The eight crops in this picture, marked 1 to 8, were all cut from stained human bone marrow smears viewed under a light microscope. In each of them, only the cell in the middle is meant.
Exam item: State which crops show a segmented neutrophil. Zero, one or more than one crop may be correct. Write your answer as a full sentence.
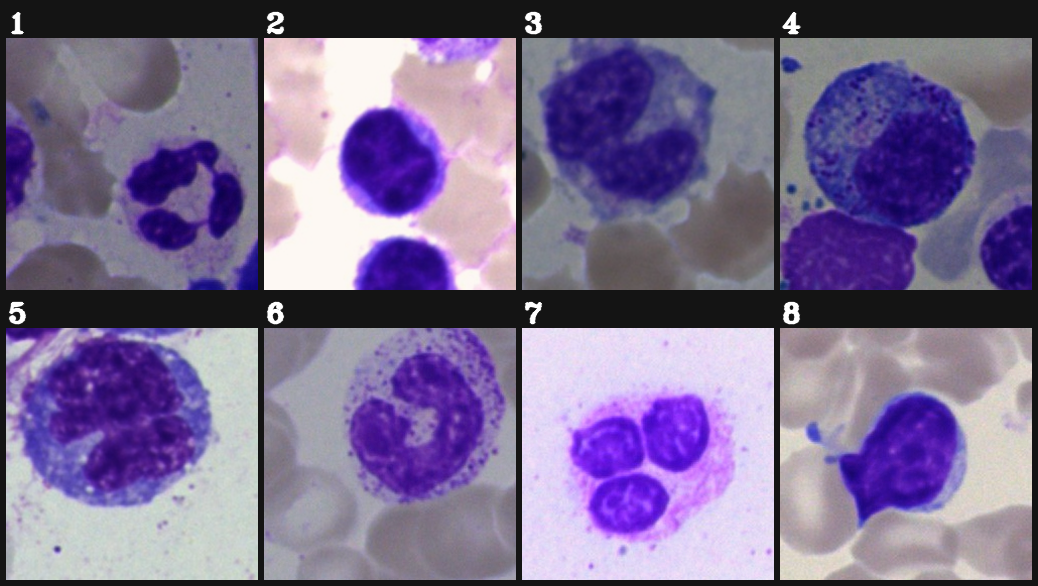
As for crops 1 and 7, they show segmented neutrophils.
